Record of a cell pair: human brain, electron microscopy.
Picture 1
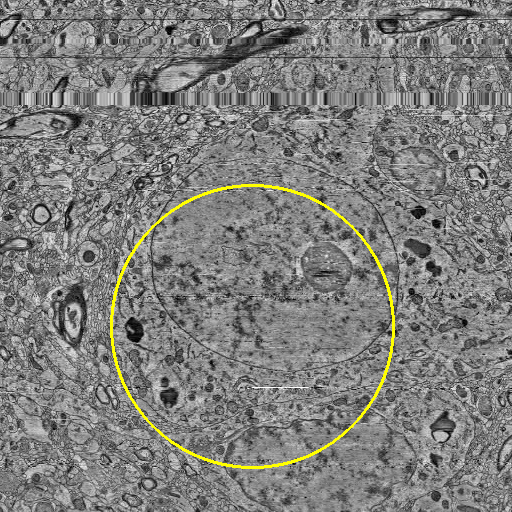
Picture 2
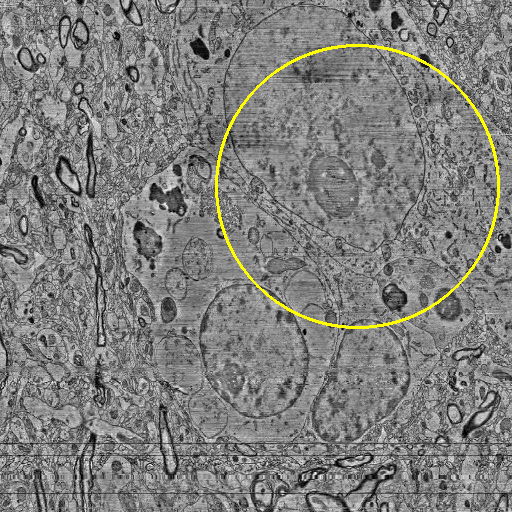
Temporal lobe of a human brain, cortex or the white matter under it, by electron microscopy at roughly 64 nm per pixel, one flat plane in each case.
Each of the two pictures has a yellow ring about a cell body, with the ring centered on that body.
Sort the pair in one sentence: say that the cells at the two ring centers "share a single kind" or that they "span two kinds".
The cells centered in the rings of Pictures 1 and 2 share a single kind.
